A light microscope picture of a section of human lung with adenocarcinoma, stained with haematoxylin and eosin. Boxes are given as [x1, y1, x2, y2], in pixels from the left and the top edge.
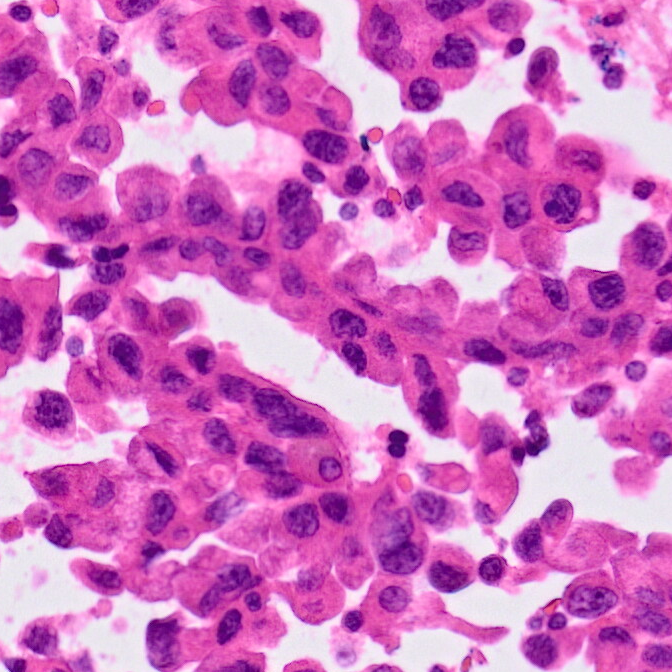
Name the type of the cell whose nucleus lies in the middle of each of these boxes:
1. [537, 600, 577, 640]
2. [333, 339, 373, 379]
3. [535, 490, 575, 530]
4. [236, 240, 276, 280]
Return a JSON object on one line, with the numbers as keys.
{"1": "lymphocyte", "2": "carcinoma cell", "3": "carcinoma cell", "4": "carcinoma cell"}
